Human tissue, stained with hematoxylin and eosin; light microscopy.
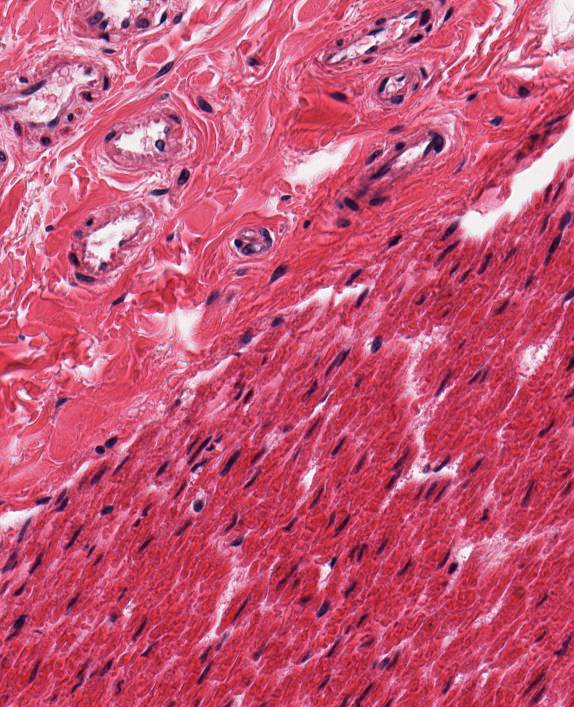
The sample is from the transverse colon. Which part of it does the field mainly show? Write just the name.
smooth muscle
